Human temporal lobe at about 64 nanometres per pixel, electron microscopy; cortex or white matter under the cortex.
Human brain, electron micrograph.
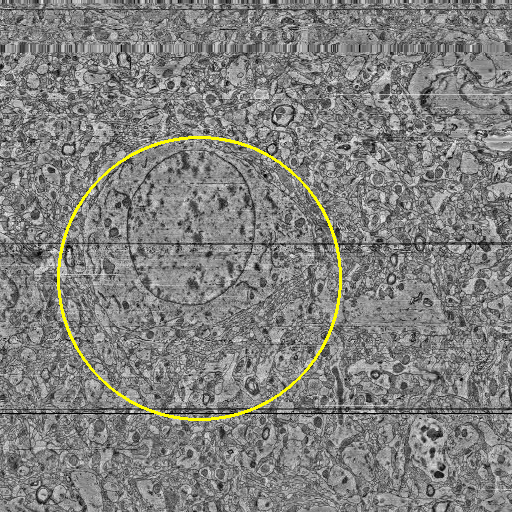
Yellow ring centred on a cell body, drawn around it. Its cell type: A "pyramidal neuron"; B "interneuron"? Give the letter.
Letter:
A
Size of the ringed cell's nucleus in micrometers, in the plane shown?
About 10 micrometres by about 8 micrometres in this plane.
